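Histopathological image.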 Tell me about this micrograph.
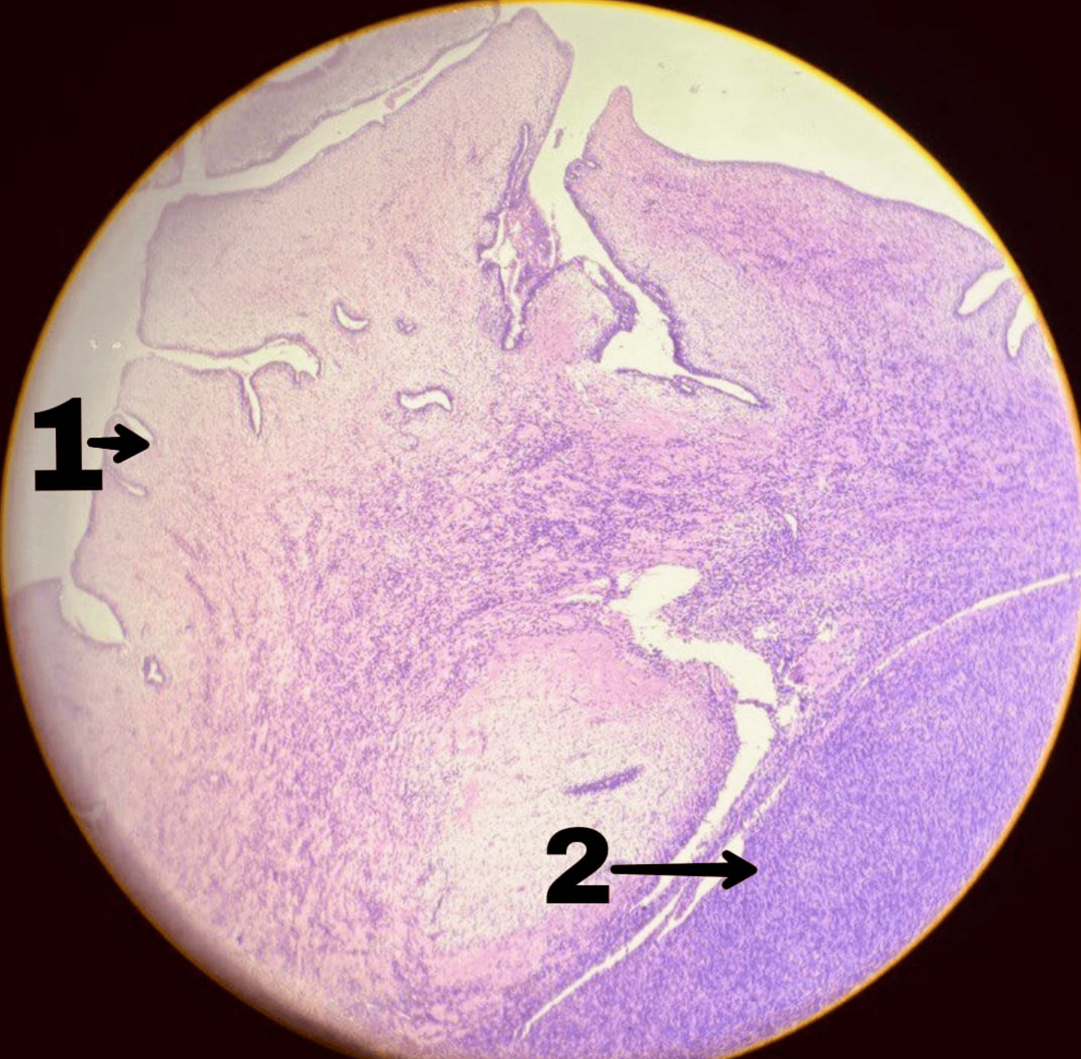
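This low-power view shows a tumour made of broad fronds of stroma separated by narrow, branching, slit-like clefts, which gives a leaf-like pattern. The clefts are bordered by thin linings, and the stroma between them is pink with scattered purple nuclei. Its density varies, with paler, looser areas and more crowded, purple areas. At the lower right lies a sharply bordered, densely purple area of closely packed cells, separated from the rest by a thin cleft.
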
